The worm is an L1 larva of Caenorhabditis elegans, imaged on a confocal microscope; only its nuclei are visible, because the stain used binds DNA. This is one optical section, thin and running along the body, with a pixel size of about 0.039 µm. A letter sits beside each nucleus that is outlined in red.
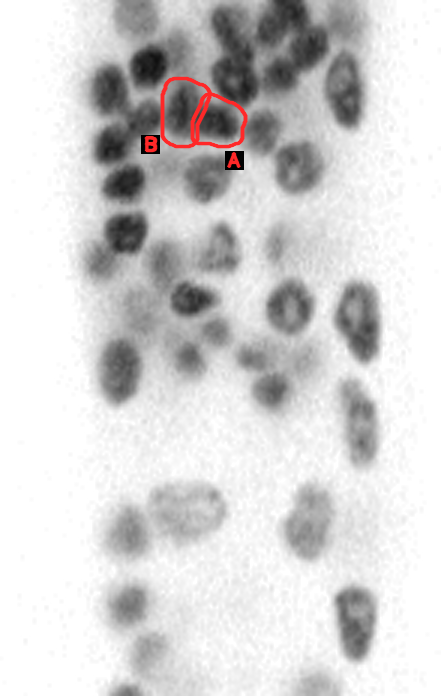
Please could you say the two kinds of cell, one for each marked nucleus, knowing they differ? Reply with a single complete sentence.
Nucleus A comes from a neuron and nucleus B from a pharyngeal muscle cell.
